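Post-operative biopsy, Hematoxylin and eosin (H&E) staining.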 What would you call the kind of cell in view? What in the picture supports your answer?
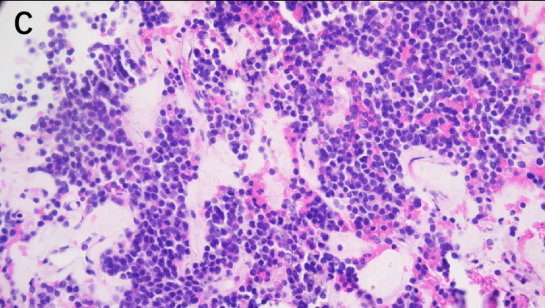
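Dense sheets and cords of closely packed cells of similar size. Nuclei are round and dark purple. Small rims of pink cytoplasm around the nuclei.
Conclusion: uniform tumor cells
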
